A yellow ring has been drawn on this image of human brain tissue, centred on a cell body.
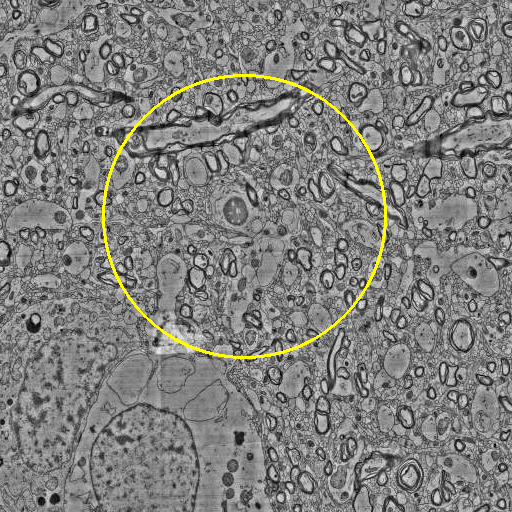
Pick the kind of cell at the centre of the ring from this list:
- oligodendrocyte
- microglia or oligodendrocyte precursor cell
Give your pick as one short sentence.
The centre of the ring holds a microglial cell or oligodendrocyte precursor cell.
